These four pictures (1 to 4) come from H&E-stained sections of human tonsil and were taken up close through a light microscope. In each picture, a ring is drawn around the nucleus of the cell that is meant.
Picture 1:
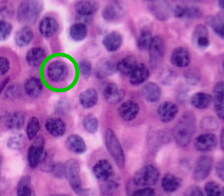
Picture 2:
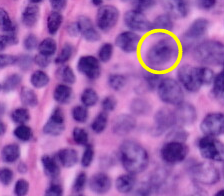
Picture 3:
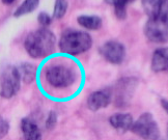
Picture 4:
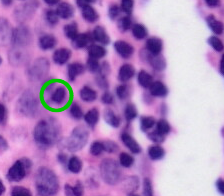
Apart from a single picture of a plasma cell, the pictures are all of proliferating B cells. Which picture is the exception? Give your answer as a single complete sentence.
Picture 1 is the one that shows the plasma cell.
